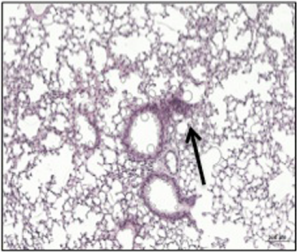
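This is lung tissue stained with haematoxylin and eosin, showing a small tumor-like lesion beside an airway. Most of the field is alveolar parenchyma: thin pinkish-purple septa enclosing many small clear airspaces in a lace-like pattern. Several round airways or vessels with open lumens are lined by a layer of purple-staining cells. Next to one of these airways the tissue is thickened by a focus of densely packed cells with dark purple nuclei, making a more solid, darker patch that interrupts the delicate alveolar network; this is the lesion. The rest of the parenchyma appears fairly uniform.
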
